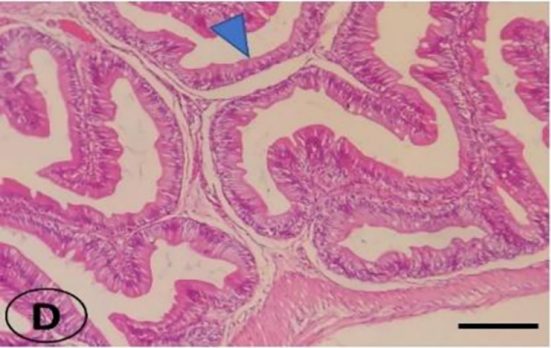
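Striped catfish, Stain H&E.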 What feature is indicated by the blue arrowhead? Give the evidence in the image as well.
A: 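Intestinal villi. Long, folded mucosal projections fill the lumen. Each fold is covered by columnar epithelium around a pale core.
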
